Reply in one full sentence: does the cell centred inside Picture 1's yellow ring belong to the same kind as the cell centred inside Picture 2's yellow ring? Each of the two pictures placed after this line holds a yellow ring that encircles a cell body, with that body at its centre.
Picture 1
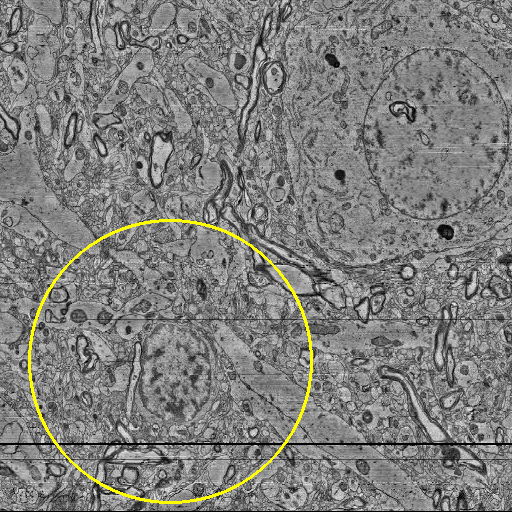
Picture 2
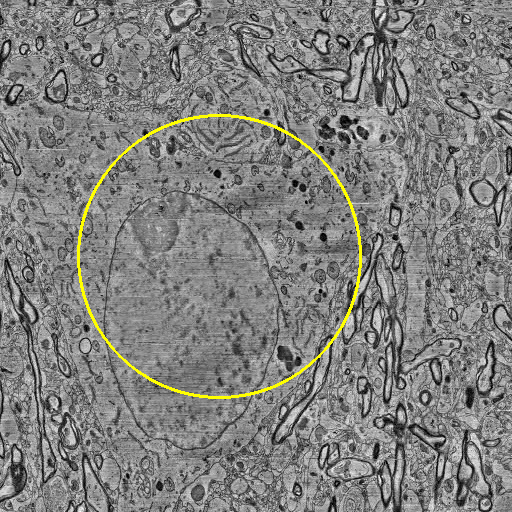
No, the ring-centred cells in Picture 1 and Picture 2 are of two separate kinds.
